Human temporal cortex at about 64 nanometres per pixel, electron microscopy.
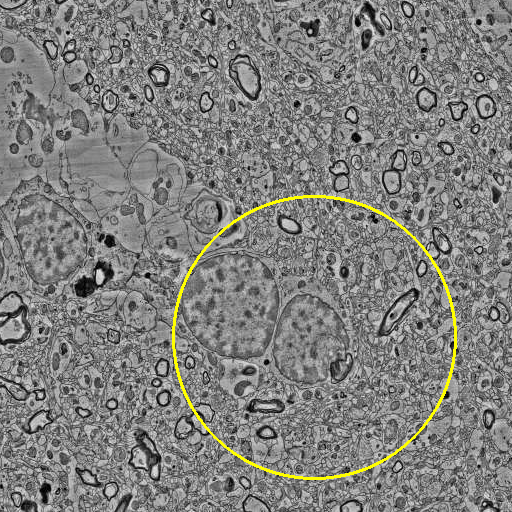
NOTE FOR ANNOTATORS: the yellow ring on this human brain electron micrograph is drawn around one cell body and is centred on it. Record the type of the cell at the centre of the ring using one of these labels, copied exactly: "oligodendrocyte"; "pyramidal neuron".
oligodendrocyte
